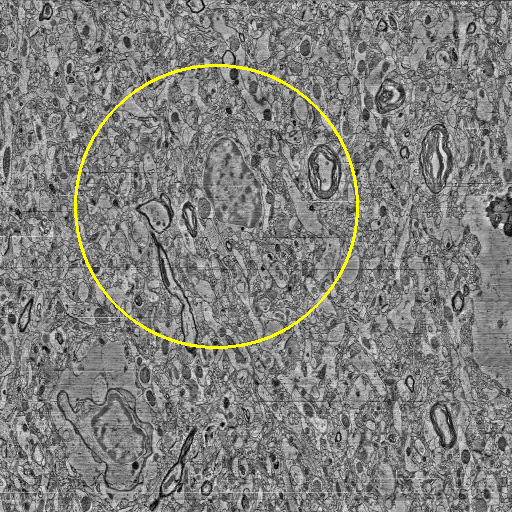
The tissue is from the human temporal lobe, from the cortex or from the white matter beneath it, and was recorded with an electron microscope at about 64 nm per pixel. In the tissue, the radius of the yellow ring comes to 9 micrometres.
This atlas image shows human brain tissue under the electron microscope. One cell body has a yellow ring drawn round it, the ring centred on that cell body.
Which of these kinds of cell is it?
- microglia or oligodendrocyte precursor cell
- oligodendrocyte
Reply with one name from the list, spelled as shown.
microglia or oligodendrocyte precursor cell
